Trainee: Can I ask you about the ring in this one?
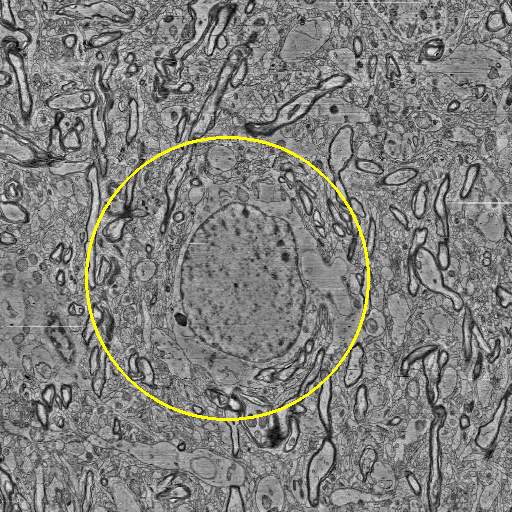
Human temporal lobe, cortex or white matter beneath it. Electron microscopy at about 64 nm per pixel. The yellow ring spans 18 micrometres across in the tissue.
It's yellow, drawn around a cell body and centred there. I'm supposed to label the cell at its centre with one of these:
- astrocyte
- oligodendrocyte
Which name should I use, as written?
astrocyte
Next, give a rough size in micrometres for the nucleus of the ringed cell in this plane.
Approximately 11 by 8 micrometers in this plane.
